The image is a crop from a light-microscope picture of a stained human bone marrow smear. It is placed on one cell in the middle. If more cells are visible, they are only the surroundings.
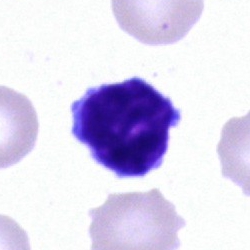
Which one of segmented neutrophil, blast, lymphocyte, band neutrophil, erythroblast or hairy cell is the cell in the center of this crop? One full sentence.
Within this crop, a lymphocyte occupies the central position.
